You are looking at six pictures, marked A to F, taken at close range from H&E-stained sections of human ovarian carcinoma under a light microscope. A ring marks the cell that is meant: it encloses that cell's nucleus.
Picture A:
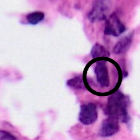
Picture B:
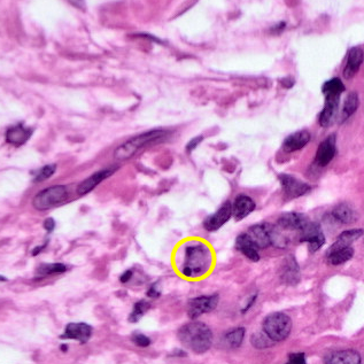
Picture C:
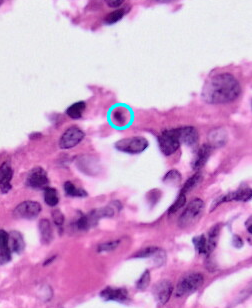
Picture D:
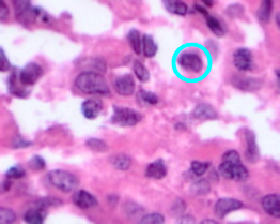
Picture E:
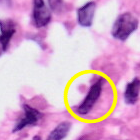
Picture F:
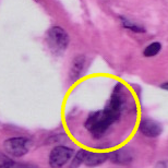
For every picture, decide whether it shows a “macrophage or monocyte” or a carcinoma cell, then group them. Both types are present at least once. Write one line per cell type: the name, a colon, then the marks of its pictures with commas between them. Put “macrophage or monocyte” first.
macrophage or monocyte: B, C, E
carcinoma cell: A, D, F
